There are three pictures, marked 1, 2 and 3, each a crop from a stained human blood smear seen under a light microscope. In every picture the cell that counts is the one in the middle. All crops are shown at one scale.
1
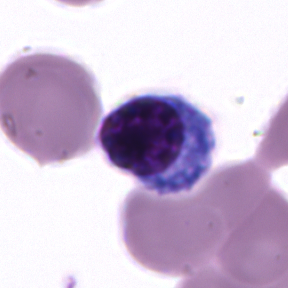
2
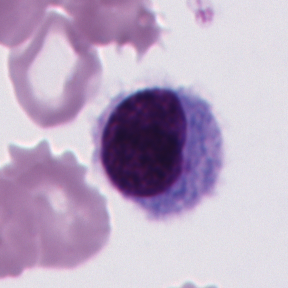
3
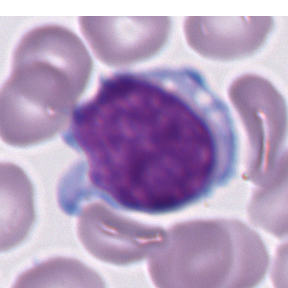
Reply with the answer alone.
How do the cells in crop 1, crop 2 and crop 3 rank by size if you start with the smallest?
1, 2, 3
